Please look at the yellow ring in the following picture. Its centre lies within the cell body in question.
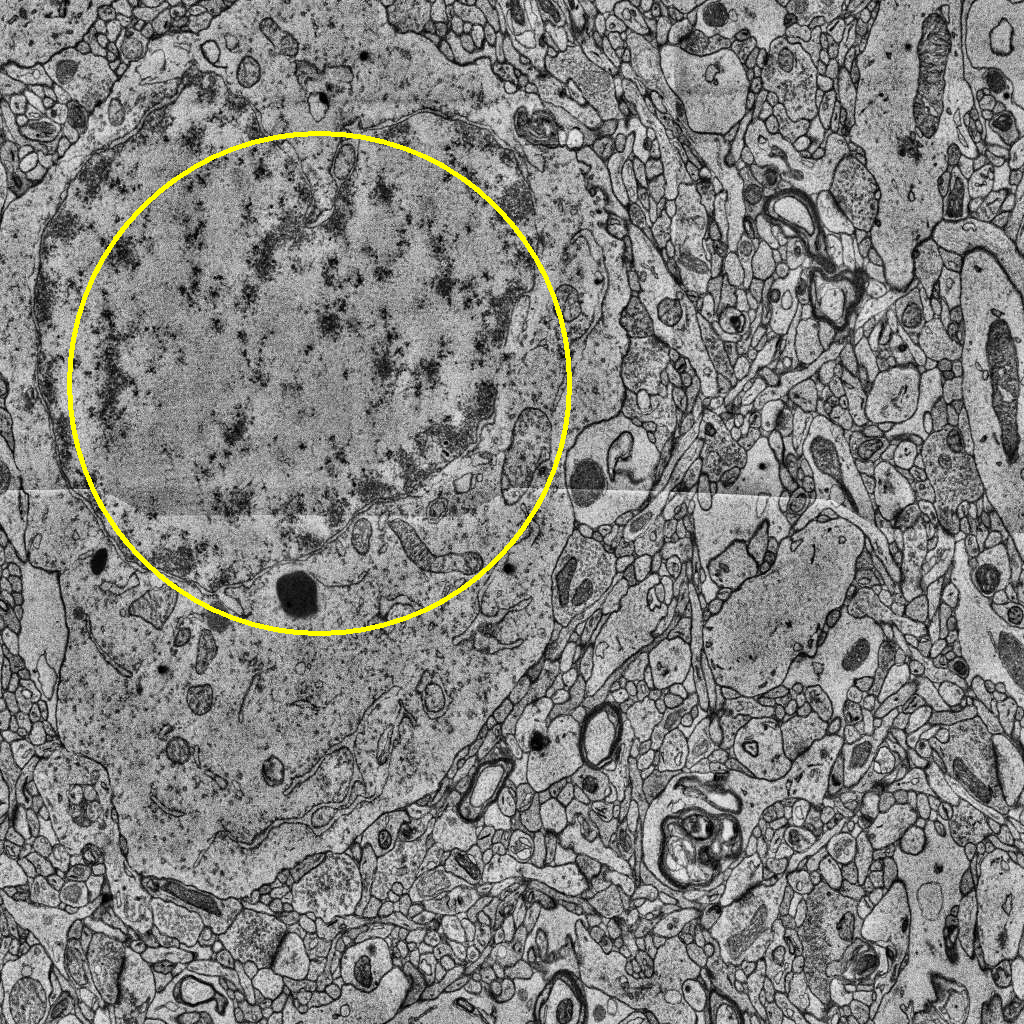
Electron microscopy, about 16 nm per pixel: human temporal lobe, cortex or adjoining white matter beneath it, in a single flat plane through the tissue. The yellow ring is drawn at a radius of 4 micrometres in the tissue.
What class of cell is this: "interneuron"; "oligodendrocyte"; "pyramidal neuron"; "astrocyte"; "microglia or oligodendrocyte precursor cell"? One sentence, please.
The centre of the ring lies in the cell body of an interneuron.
